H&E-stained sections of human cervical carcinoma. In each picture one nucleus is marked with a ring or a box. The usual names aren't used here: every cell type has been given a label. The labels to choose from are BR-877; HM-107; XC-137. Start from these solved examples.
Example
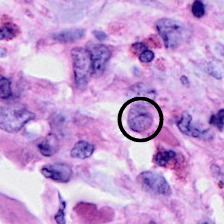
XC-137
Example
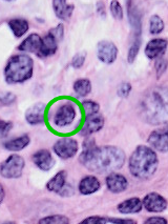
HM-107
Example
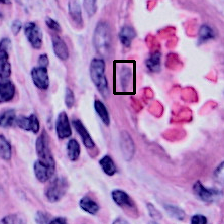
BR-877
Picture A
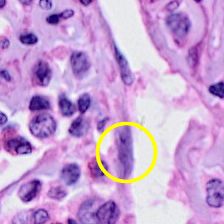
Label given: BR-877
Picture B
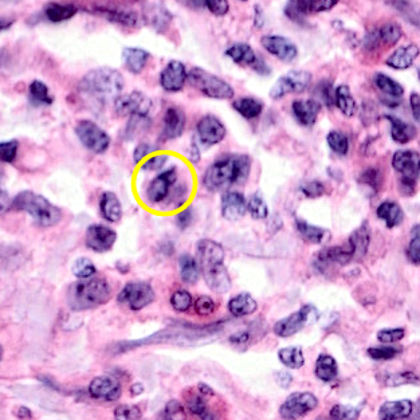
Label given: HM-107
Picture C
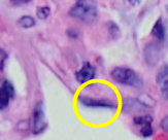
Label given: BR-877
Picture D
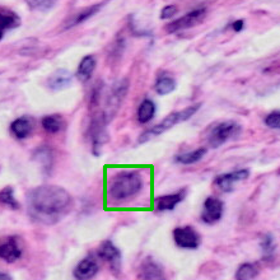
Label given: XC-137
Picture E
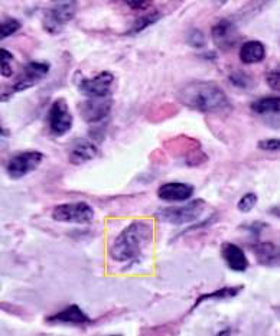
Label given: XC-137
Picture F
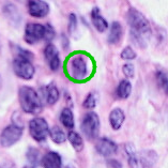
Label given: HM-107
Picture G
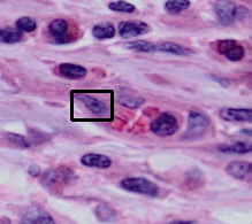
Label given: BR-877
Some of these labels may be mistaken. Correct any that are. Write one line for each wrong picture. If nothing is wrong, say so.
All correct.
